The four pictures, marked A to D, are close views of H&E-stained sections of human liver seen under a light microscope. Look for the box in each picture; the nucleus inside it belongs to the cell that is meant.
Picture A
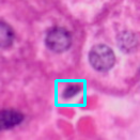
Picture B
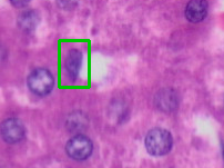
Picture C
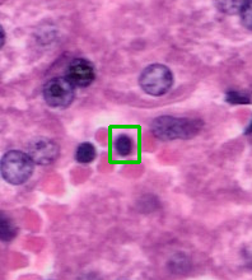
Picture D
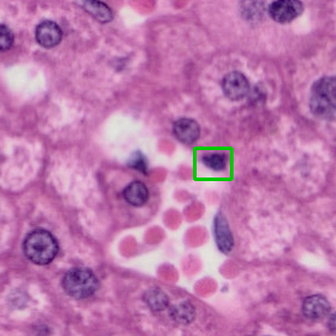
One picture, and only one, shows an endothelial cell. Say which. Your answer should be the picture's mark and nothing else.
B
